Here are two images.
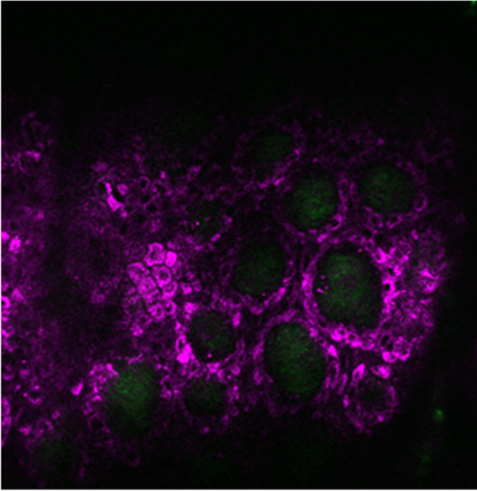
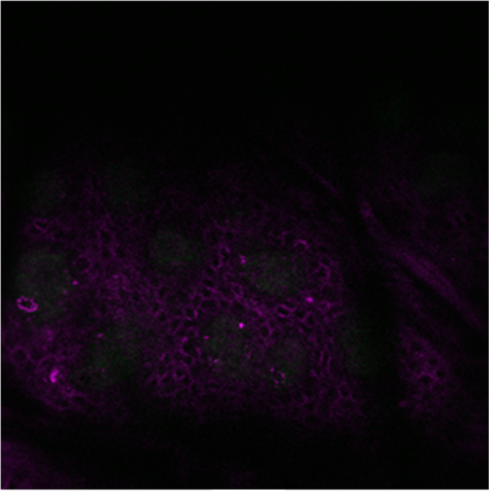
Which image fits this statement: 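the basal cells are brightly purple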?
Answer: The first image.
